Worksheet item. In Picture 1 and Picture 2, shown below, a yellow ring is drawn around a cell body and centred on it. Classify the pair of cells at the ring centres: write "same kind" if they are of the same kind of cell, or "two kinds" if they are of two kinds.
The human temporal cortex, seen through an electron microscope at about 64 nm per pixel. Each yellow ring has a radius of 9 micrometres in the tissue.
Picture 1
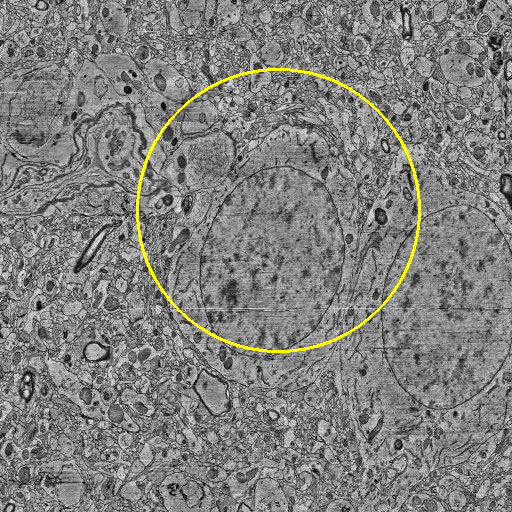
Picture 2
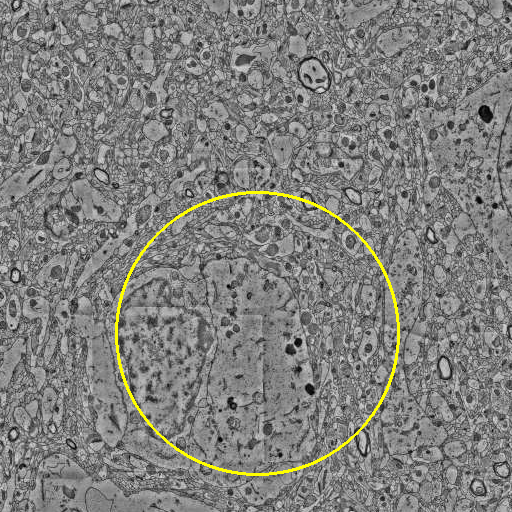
same kind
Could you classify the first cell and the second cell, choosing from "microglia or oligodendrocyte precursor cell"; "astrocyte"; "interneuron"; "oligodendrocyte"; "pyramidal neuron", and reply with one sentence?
The first and the second cell are each a pyramidal neuron.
